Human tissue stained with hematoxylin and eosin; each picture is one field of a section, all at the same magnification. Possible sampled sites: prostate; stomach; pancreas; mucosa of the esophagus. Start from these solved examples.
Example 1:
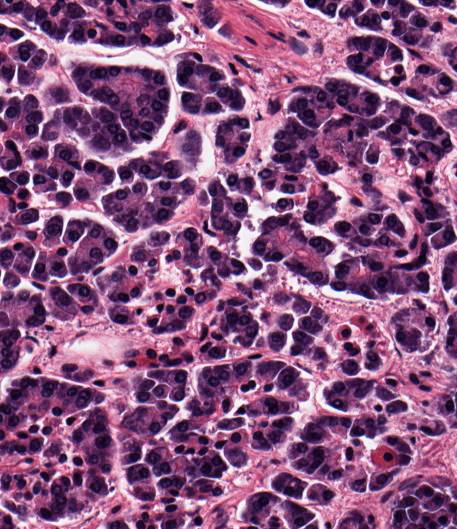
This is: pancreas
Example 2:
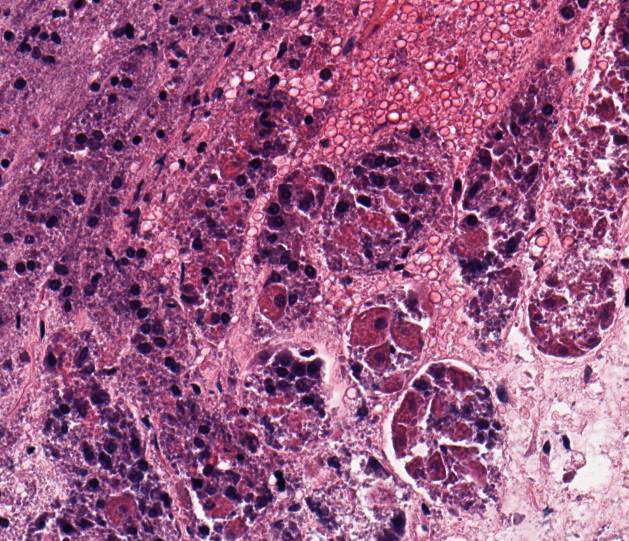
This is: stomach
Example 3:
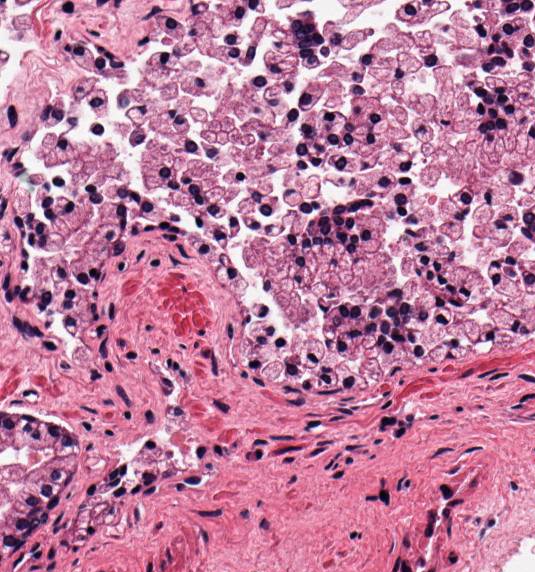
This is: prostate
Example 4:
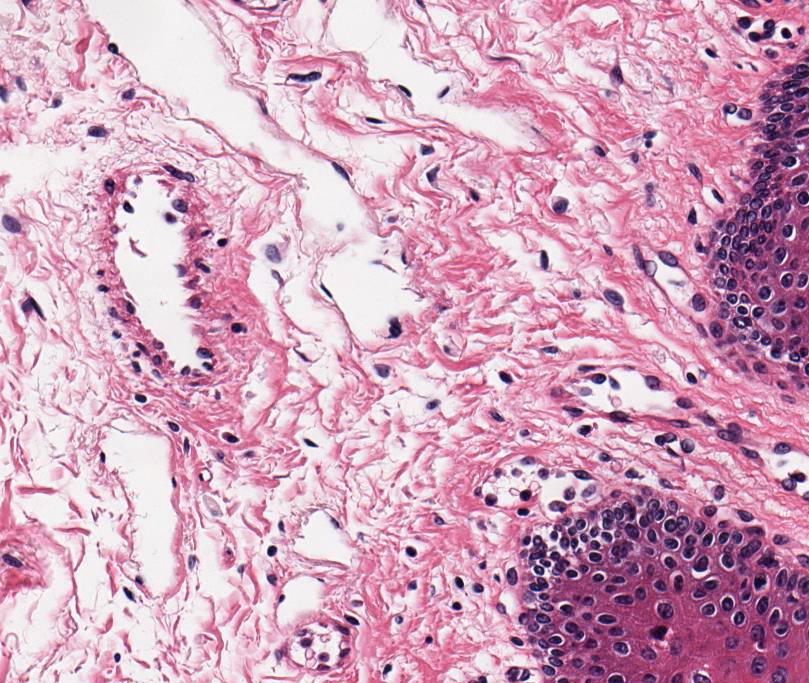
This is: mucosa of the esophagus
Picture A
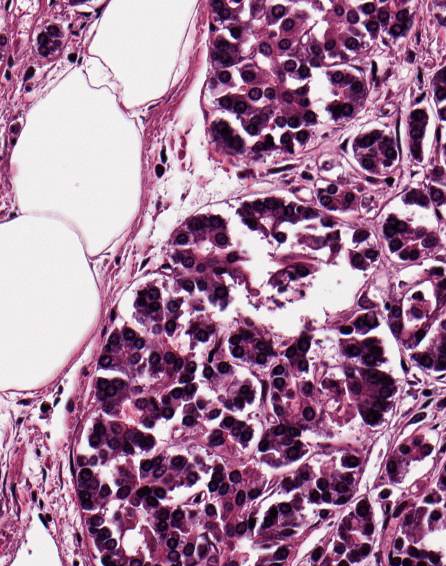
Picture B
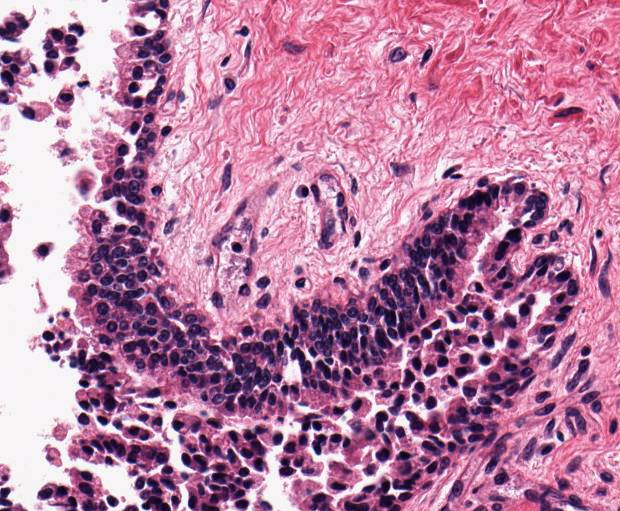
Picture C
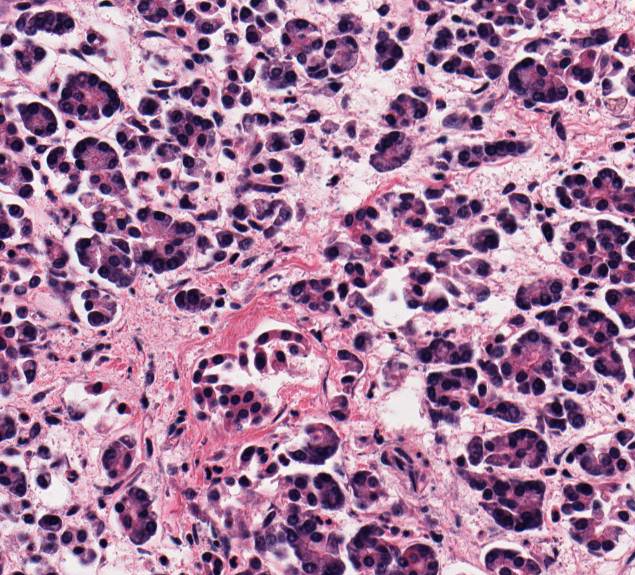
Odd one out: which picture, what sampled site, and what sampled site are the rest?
Picture B: prostate. All others: pancreas.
